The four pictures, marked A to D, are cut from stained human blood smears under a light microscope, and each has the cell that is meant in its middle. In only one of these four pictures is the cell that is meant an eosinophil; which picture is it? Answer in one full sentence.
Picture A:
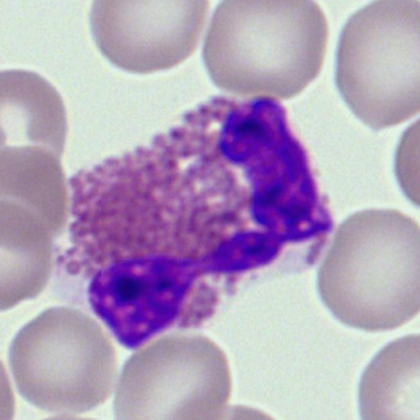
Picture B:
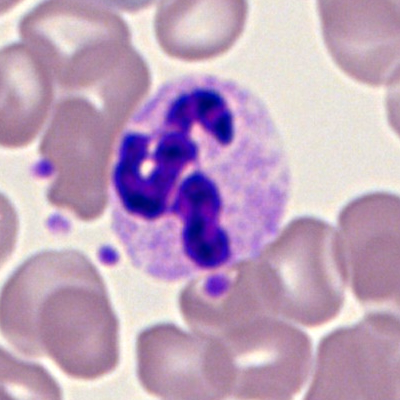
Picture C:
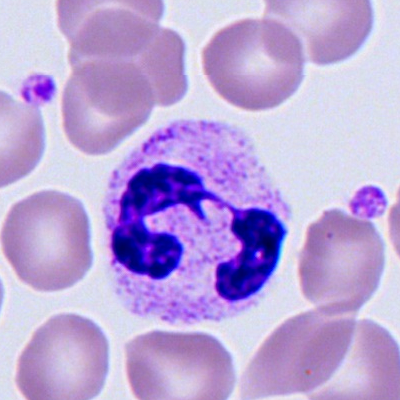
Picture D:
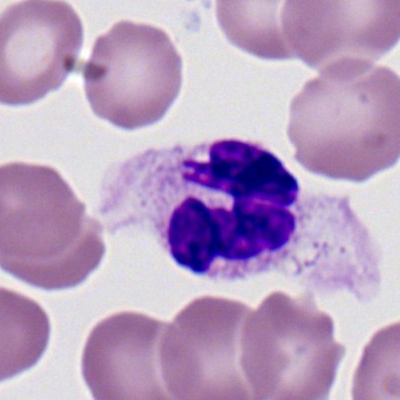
Picture A shows the eosinophil.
